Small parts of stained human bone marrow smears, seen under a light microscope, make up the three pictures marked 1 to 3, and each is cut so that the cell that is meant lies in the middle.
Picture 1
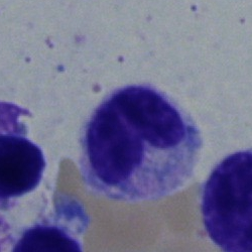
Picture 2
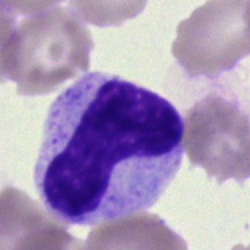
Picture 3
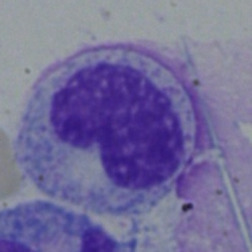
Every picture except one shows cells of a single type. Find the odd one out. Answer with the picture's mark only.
2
